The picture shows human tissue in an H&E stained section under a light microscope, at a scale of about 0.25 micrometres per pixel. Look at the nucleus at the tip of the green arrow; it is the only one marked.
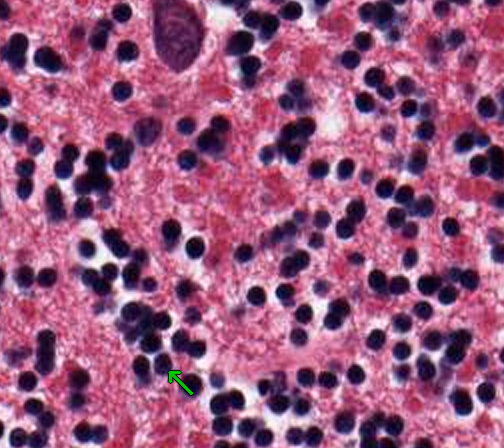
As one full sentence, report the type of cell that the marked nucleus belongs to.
The nucleus that the mark indicates belongs to a cerebellar granule cell.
